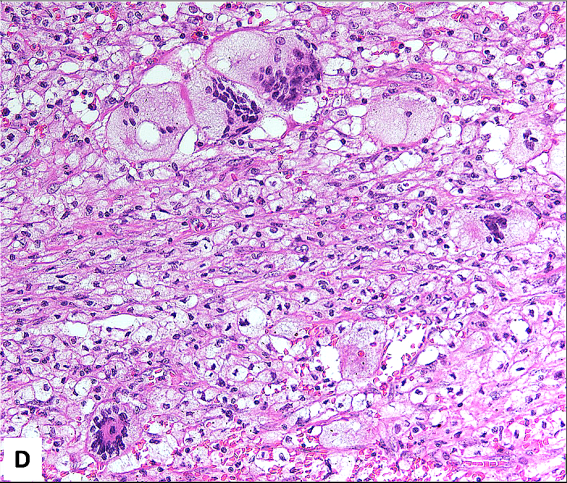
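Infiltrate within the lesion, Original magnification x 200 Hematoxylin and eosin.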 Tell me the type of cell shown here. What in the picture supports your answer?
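Touton giant cells. Several large cells contain many nuclei gathered in a cluster or ring. The large cells have abundant pale, foamy cytoplasm. They lie among smaller mononuclear cells with clear cytoplasm.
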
